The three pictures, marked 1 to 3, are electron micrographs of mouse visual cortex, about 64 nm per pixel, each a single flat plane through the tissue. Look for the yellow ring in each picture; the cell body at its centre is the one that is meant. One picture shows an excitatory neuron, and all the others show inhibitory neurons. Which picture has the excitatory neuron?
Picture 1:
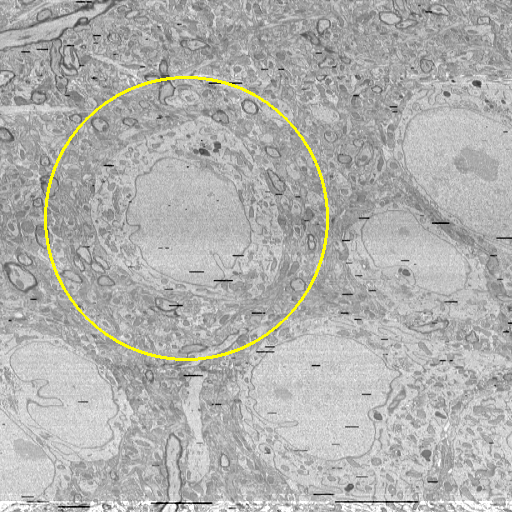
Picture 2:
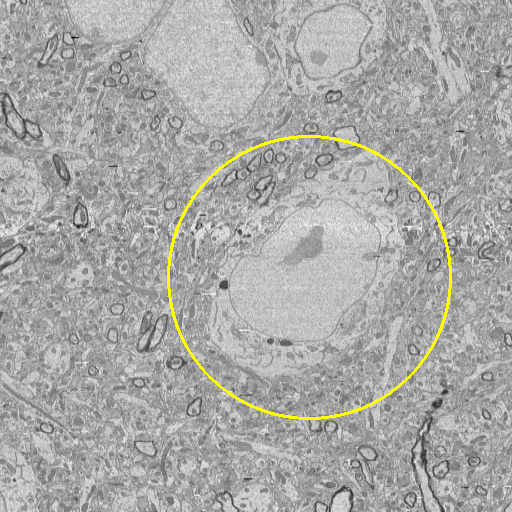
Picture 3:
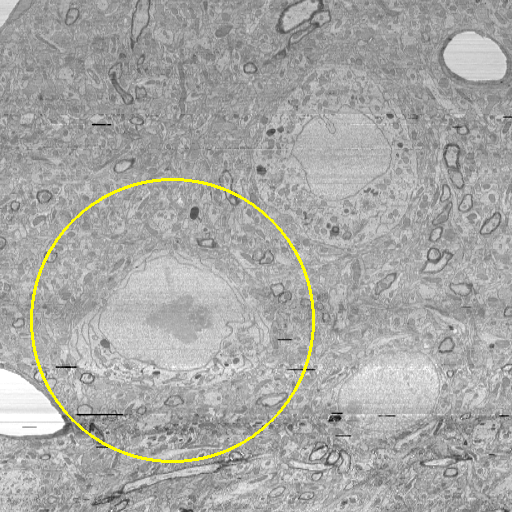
The cell in picture 2 is the excitatory neuron.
